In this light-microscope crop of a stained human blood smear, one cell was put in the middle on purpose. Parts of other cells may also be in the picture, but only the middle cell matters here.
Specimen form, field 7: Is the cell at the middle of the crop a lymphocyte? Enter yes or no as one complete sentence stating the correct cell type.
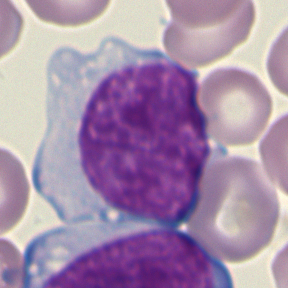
No, it isn't a lymphocyte; what sits in the middle is a blast.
